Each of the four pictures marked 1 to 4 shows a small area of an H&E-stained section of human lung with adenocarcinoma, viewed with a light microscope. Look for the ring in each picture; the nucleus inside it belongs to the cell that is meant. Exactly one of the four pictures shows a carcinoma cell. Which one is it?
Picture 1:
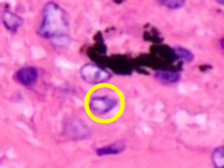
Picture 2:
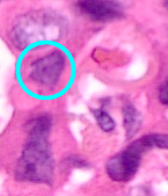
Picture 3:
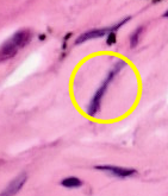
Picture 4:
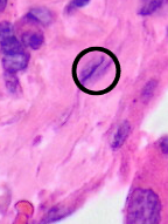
2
